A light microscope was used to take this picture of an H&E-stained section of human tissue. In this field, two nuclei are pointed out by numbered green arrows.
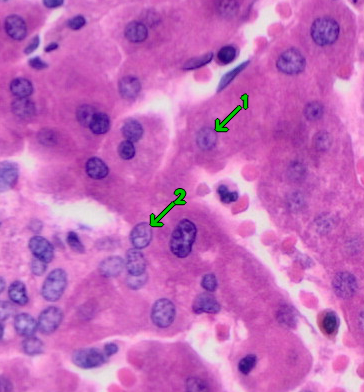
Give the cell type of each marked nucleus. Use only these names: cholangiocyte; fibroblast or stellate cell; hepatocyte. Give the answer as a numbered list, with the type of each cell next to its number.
1. hepatocyte
2. cholangiocyte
